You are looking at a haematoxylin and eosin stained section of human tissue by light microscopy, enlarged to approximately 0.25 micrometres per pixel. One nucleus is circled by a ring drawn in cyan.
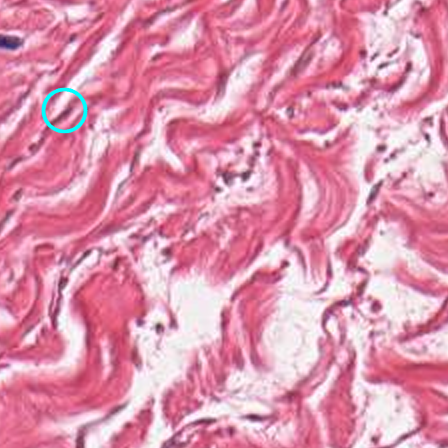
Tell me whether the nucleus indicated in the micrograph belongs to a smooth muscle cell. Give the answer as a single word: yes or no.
no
